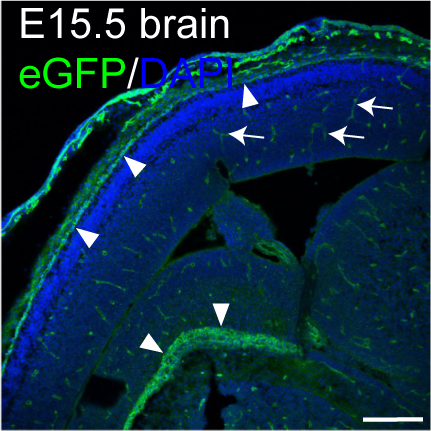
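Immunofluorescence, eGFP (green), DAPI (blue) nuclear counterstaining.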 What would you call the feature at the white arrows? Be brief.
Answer: capillaries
